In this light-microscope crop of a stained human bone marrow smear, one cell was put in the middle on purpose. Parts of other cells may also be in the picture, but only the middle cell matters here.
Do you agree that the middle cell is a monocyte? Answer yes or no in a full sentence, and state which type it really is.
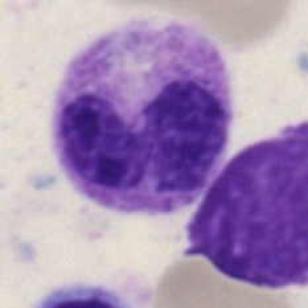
No, the centred cell is a segmented neutrophil instead of a monocyte.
